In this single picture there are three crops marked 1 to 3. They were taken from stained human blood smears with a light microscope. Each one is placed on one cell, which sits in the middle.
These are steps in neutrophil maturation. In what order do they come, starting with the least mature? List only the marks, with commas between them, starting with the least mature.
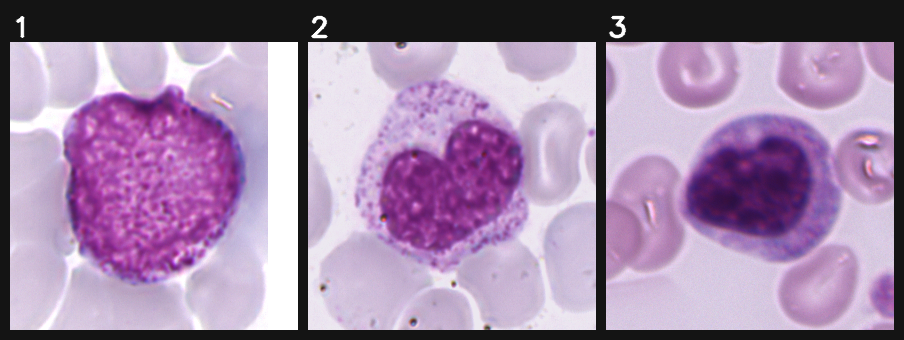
1, 3, 2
